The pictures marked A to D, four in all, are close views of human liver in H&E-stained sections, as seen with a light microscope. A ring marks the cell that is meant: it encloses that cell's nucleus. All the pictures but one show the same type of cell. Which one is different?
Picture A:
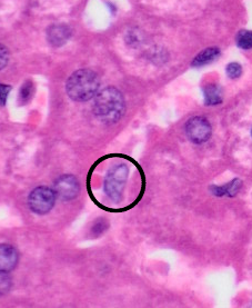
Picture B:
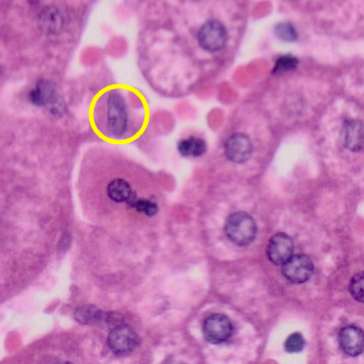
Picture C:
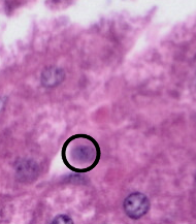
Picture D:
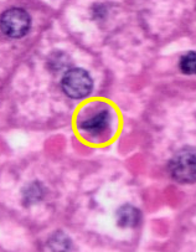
D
